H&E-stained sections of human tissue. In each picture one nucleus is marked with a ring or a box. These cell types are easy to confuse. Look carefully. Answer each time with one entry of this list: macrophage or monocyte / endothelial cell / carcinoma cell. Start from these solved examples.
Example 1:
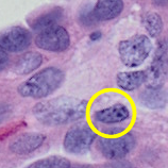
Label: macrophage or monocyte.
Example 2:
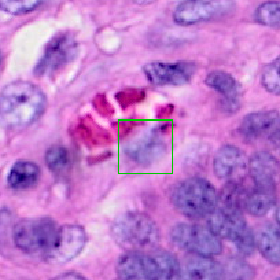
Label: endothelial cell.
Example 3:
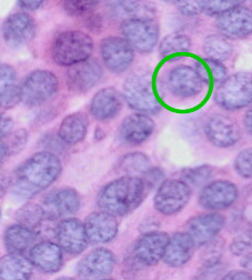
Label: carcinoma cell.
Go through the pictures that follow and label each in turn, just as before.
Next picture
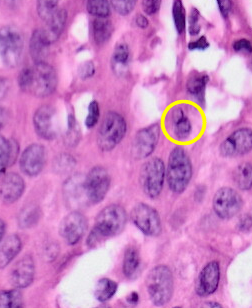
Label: macrophage or monocyte.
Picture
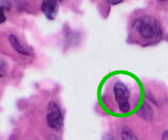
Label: macrophage or monocyte.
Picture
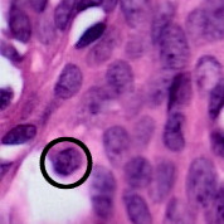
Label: macrophage or monocyte.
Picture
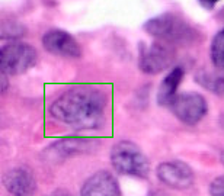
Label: endothelial cell.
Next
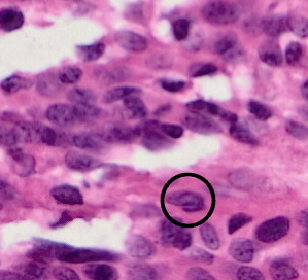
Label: endothelial cell.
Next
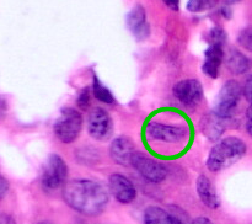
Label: endothelial cell.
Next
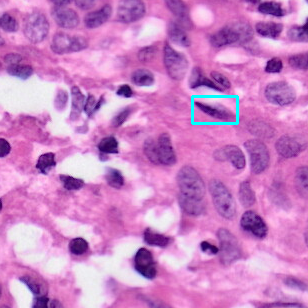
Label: endothelial cell.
